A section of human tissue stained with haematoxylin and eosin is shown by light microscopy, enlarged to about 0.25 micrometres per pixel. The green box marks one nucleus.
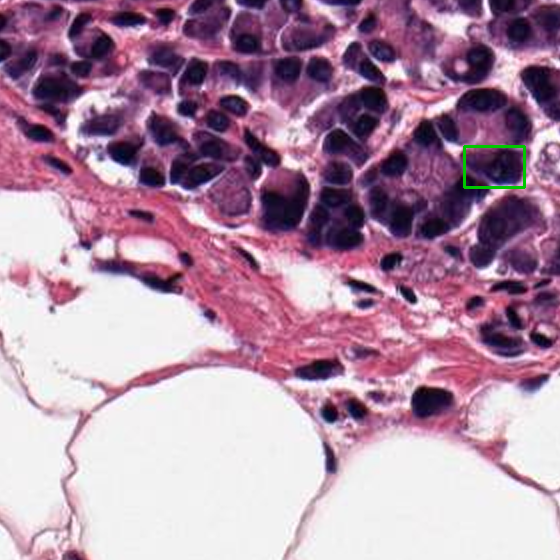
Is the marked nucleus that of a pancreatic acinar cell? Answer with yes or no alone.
yes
